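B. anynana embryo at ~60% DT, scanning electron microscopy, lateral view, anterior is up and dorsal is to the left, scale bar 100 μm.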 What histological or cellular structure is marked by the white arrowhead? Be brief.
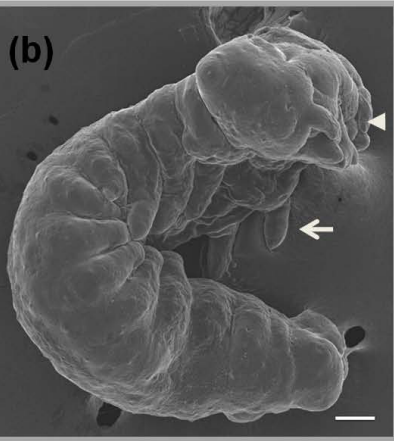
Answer: Mouthparts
